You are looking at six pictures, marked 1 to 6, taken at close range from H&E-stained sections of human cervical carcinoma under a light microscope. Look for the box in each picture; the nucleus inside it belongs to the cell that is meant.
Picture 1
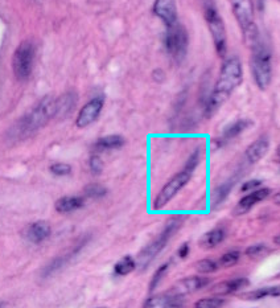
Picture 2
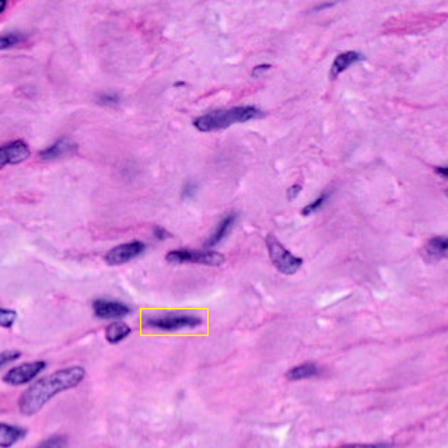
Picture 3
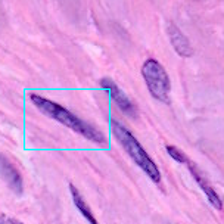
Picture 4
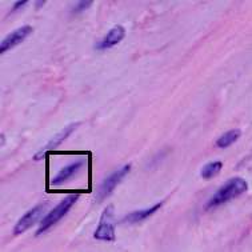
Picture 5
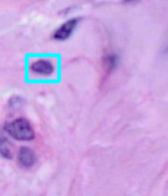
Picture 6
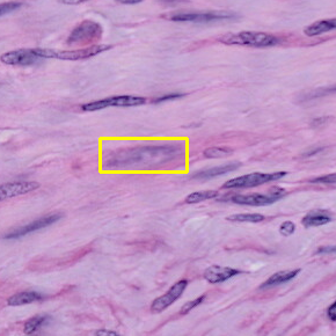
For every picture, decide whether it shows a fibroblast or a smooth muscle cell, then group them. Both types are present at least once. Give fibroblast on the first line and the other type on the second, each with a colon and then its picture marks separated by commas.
fibroblast: 2, 3, 4, 5
smooth muscle cell: 1, 6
